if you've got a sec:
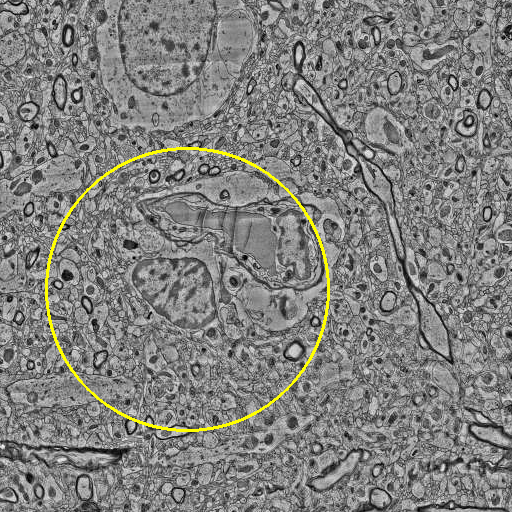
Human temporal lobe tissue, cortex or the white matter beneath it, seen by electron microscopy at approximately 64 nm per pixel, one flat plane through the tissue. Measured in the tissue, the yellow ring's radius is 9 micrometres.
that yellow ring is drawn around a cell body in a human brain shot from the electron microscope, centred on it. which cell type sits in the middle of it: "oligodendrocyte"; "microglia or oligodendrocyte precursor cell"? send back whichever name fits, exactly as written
microglia or oligodendrocyte precursor cell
